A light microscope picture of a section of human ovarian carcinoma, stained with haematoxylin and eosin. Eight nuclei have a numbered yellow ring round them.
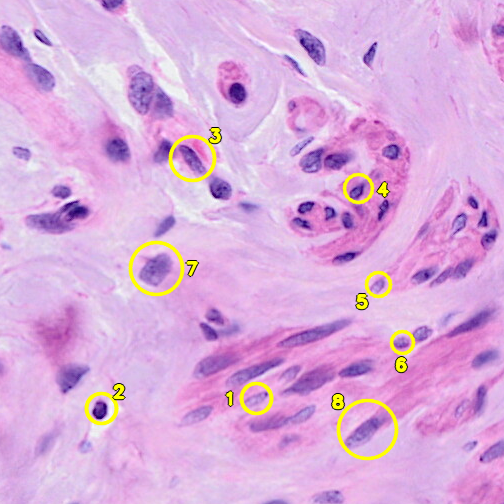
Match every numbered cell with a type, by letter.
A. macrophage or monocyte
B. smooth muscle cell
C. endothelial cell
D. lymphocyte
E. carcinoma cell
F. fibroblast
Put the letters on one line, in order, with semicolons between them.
B; D; C; B; B; B; F; B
